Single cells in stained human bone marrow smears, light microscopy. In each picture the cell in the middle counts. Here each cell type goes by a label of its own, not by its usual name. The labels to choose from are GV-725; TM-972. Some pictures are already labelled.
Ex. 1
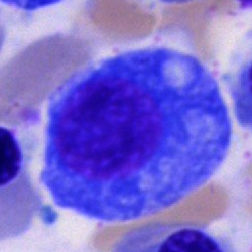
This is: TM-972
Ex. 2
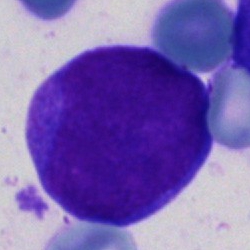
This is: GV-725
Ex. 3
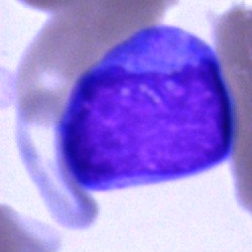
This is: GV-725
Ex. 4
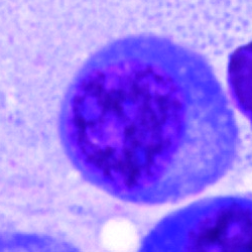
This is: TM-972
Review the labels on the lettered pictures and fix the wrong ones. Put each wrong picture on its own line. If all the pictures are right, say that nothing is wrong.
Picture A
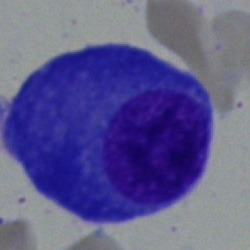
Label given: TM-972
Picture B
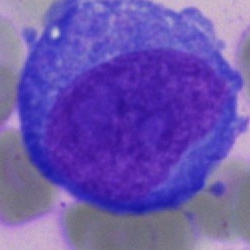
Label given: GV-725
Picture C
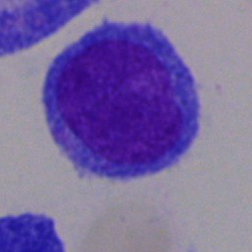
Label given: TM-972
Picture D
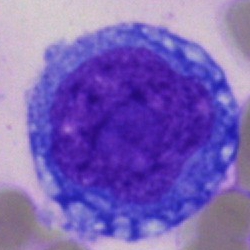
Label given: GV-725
C: change TM-972 to GV-725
